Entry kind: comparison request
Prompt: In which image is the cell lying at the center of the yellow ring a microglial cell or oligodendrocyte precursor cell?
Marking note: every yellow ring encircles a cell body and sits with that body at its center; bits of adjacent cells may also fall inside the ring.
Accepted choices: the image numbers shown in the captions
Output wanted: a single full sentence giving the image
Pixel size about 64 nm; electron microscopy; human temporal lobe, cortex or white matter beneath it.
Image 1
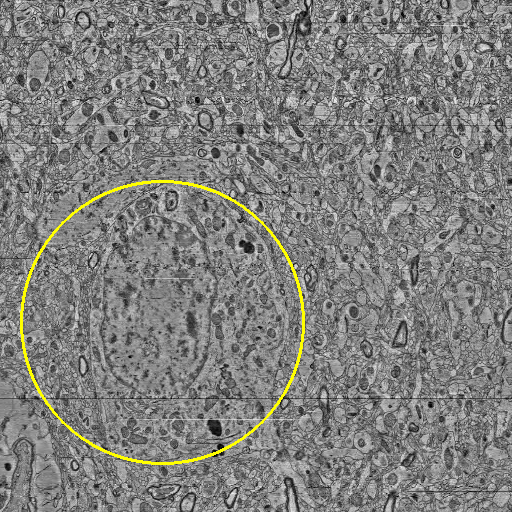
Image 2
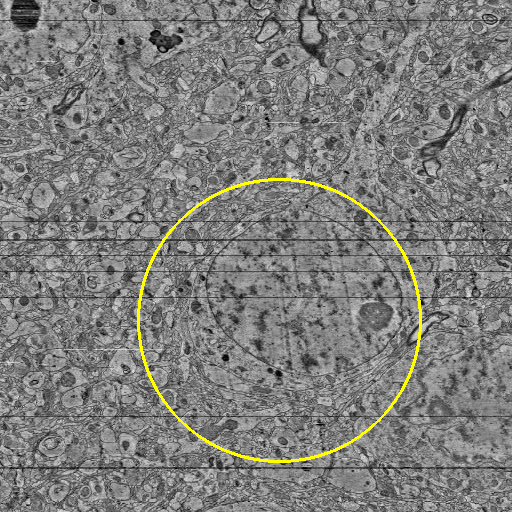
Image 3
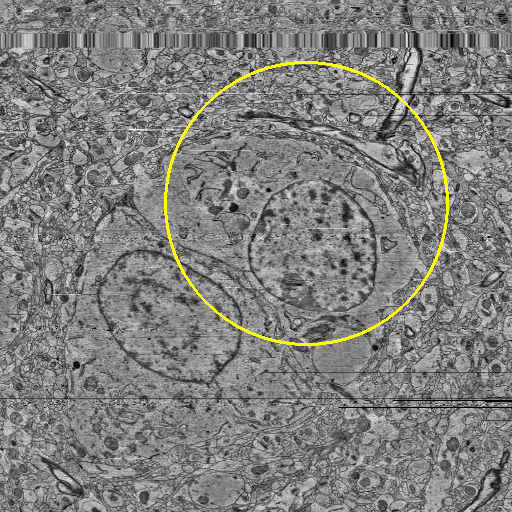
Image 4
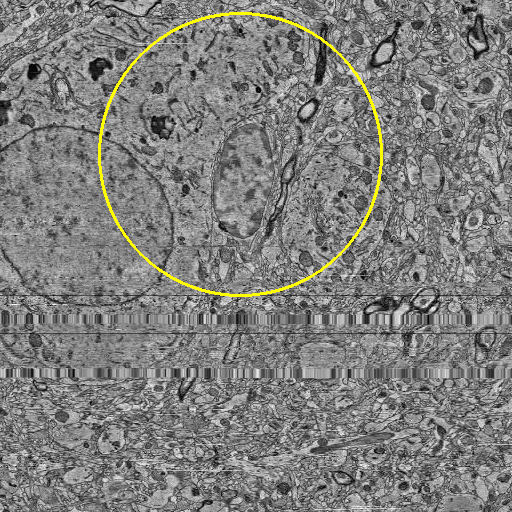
In image 4, the ringed cell at the center matches the prompt.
